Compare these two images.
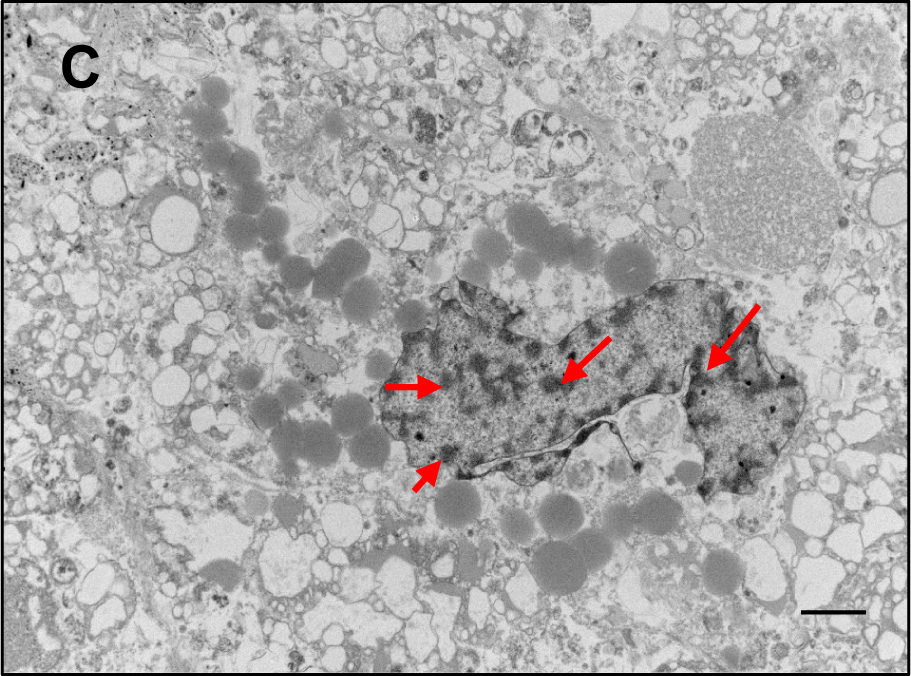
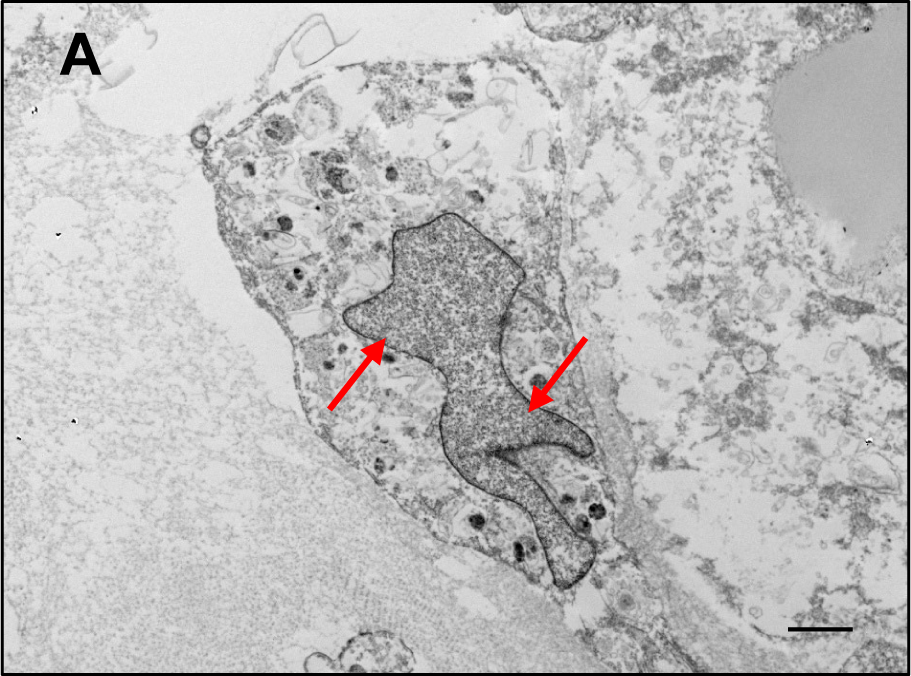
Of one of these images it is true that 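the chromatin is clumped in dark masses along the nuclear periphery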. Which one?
the first image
